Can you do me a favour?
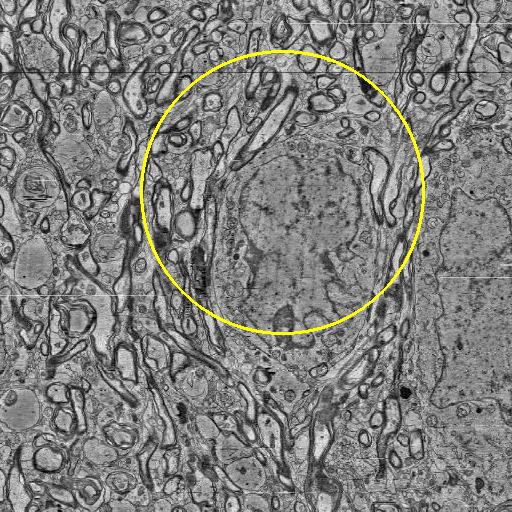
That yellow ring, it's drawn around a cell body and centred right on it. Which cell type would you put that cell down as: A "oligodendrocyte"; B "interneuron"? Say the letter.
B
